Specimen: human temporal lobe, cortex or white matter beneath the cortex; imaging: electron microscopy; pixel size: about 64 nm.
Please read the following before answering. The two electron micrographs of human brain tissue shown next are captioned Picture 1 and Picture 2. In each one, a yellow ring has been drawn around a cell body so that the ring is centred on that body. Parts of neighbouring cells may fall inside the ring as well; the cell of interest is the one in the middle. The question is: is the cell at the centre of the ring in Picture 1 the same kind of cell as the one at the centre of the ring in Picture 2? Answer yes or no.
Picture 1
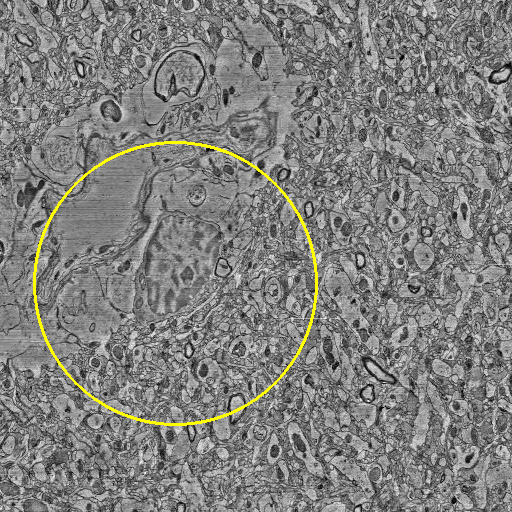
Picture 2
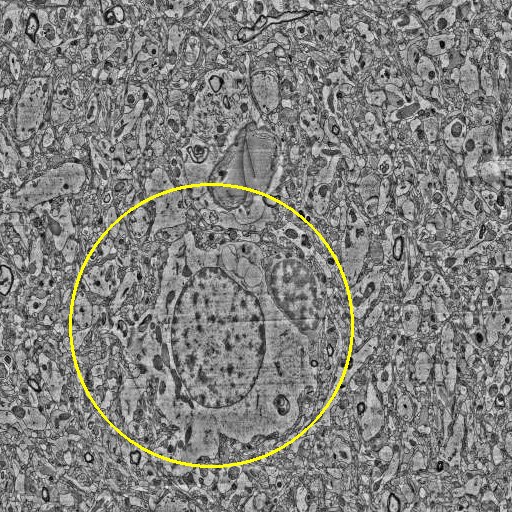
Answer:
no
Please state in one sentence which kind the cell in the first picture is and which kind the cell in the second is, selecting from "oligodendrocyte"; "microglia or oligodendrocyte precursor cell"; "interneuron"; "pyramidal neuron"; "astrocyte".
The first ringed cell is an oligodendrocyte, the second ringed cell an astrocyte.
